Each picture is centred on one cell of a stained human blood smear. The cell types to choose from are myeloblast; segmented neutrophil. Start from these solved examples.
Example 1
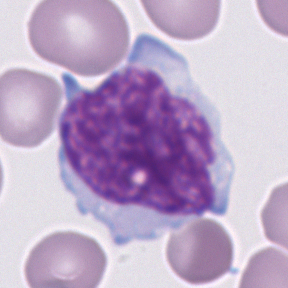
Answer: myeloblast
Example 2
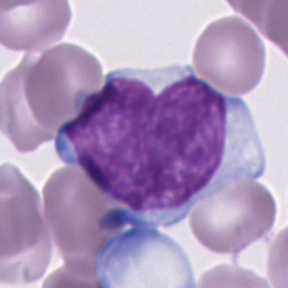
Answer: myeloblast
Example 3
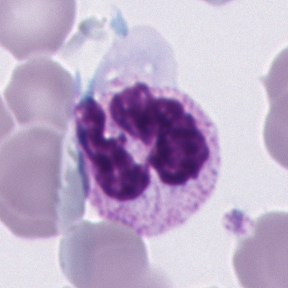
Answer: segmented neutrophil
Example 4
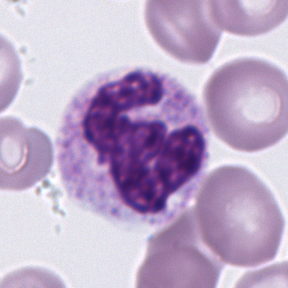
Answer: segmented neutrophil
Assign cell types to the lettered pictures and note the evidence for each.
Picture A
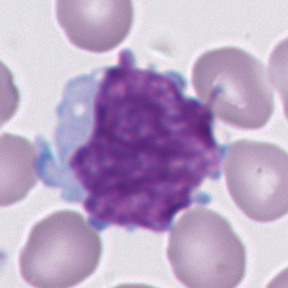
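myeloblast. The nucleus fills most of the cell and has an irregular, angular outline.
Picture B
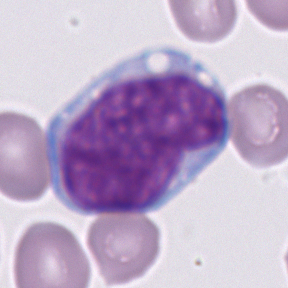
myeloblast. The cytoplasm is pale blue and forms a narrow rim around the nucleus.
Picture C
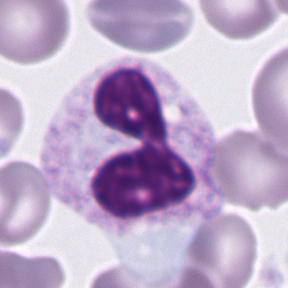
segmented neutrophil. The cytoplasm is abundant and pale pinkish-lilac.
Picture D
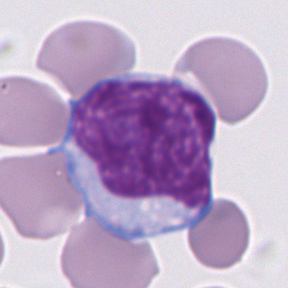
myeloblast. The nucleus fills most of the cell and sits toward the upper right.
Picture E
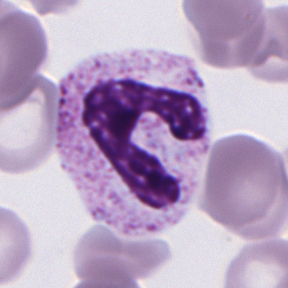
segmented neutrophil. The nucleus is a thick curved band bent into a C shape that opens to the right.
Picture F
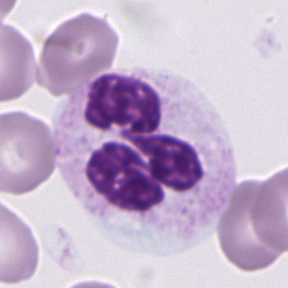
segmented neutrophil. The cytoplasm is plentiful and pale lilac-pink.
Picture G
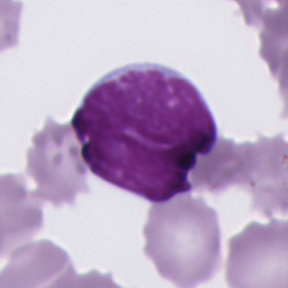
myeloblast. Cytoplasm shows only as a thin crescent along the top edge of the cell.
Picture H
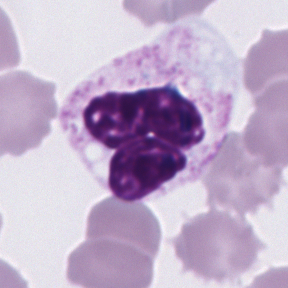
segmented neutrophil. The cytoplasm is plentiful and very pale greyish-lilac.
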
